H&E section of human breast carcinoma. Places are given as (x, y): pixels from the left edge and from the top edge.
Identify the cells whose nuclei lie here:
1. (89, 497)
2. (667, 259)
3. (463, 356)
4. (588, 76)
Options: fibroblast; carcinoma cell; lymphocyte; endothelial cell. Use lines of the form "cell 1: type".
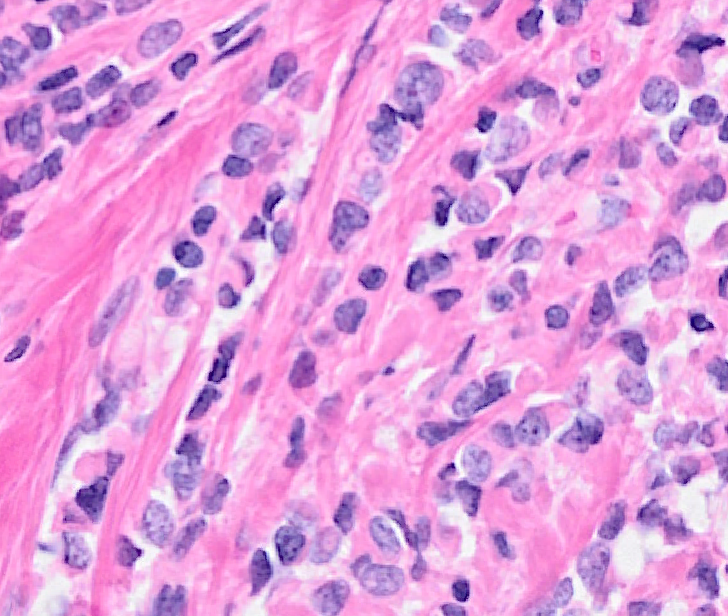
cell 1: carcinoma cell
cell 2: carcinoma cell
cell 3: fibroblast
cell 4: endothelial cell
